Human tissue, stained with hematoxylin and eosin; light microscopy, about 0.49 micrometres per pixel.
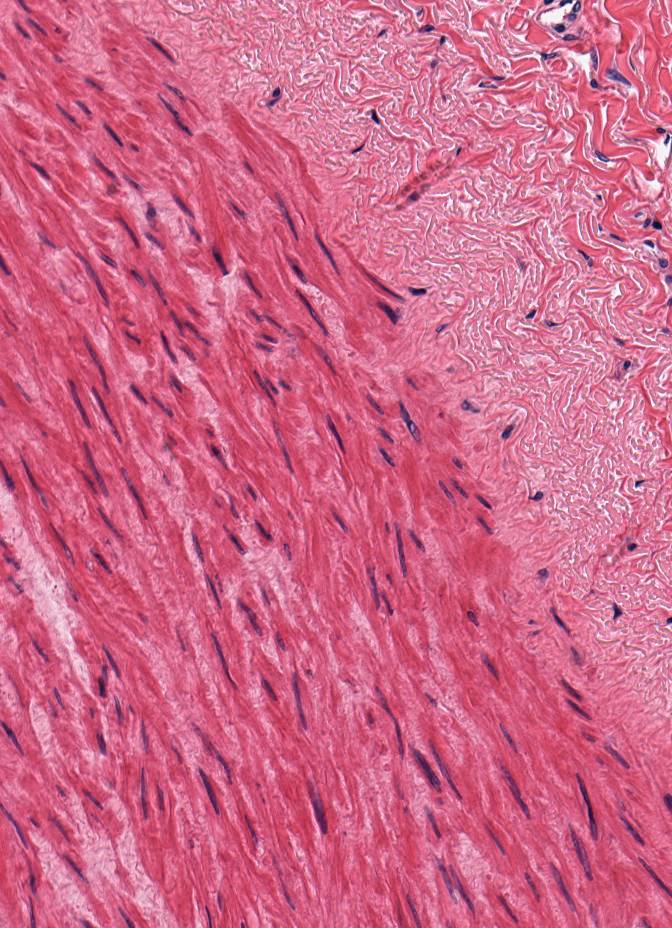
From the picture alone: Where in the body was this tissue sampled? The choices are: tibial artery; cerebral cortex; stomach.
tibial artery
